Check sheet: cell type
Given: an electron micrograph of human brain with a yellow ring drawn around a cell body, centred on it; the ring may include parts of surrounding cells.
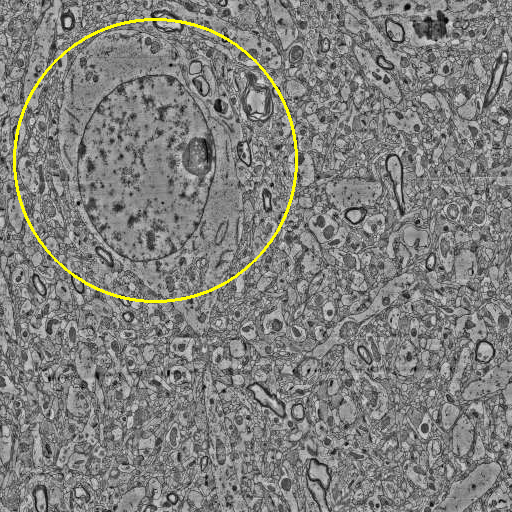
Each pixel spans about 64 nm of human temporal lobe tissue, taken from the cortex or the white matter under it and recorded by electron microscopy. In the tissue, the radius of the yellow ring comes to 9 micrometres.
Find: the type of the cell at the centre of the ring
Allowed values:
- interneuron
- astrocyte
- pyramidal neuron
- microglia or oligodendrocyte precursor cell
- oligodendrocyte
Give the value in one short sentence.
Here the ringed cell is a pyramidal neuron.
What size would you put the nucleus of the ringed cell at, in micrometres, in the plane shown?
The nucleus works out at approximately 12 by 9 micrometres in this plane.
